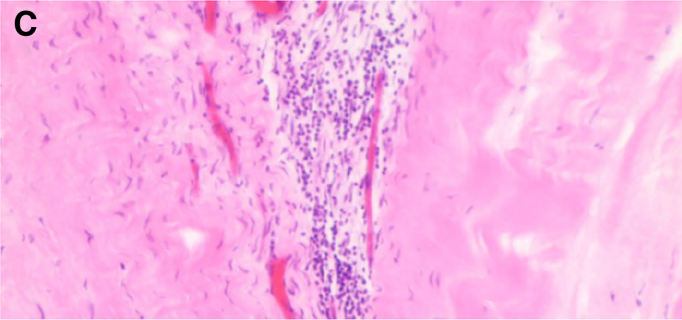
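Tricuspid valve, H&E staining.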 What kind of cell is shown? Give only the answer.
Lymphocytes.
